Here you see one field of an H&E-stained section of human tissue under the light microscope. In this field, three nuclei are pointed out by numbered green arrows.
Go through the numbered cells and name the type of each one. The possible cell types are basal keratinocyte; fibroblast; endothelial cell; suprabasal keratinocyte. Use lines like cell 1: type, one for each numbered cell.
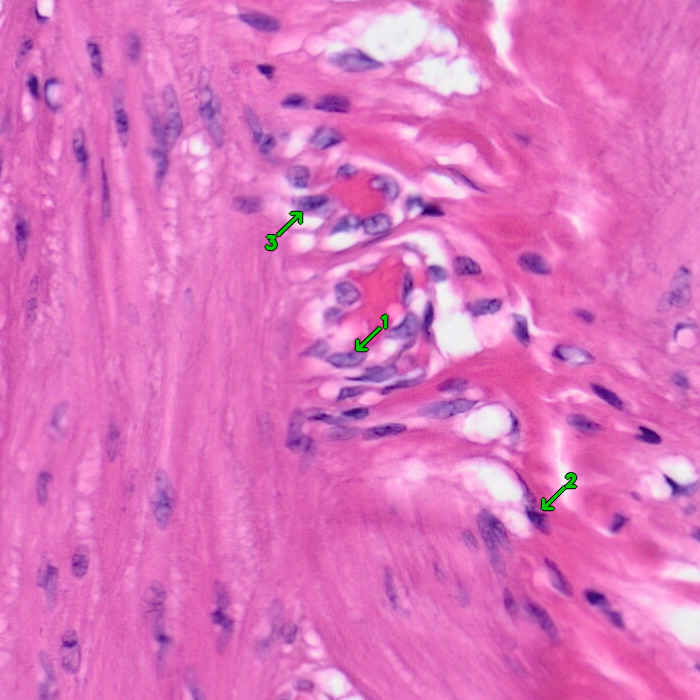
cell 1: endothelial cell
cell 2: fibroblast
cell 3: endothelial cell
